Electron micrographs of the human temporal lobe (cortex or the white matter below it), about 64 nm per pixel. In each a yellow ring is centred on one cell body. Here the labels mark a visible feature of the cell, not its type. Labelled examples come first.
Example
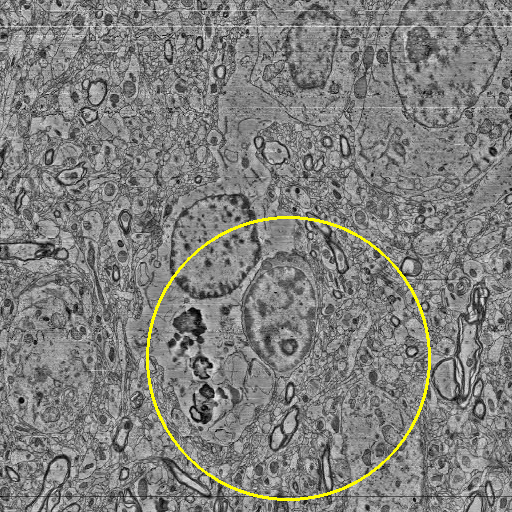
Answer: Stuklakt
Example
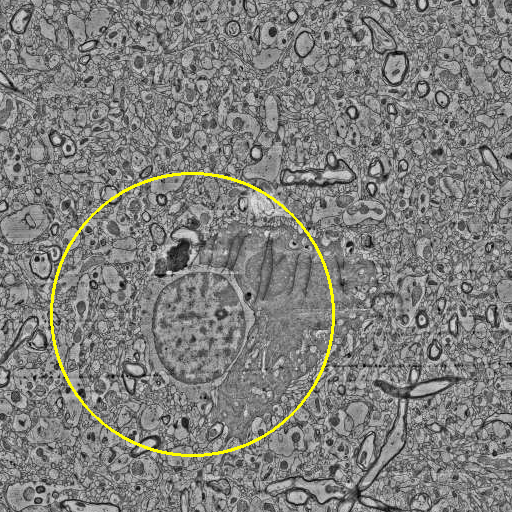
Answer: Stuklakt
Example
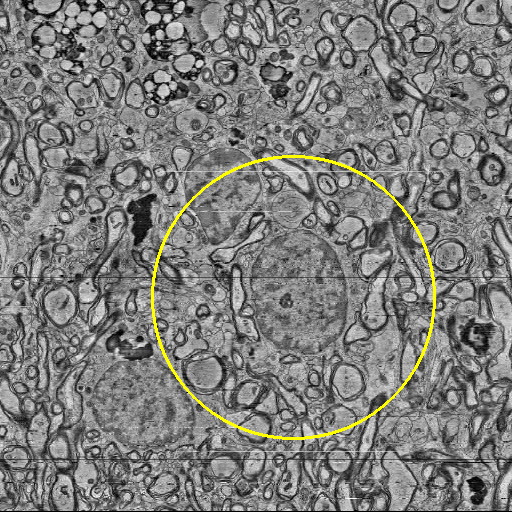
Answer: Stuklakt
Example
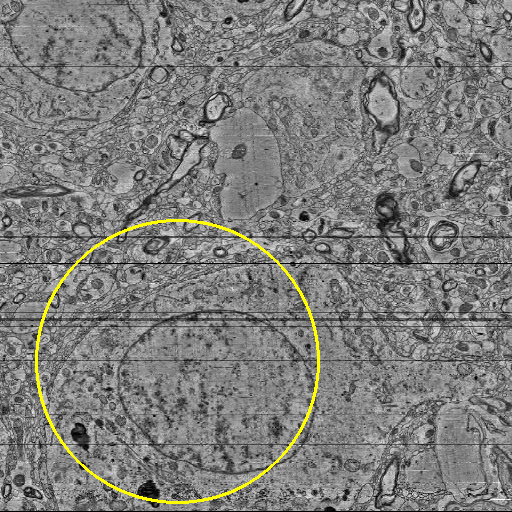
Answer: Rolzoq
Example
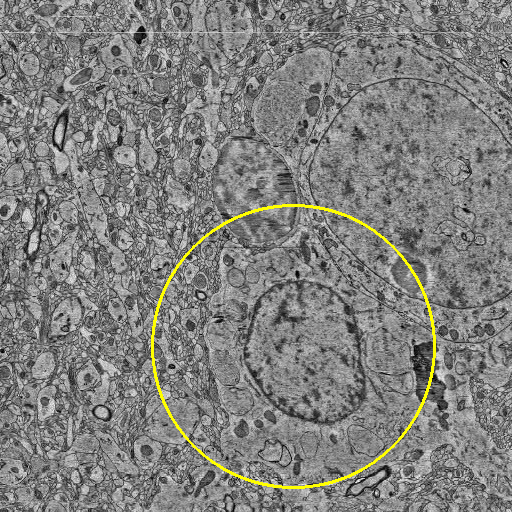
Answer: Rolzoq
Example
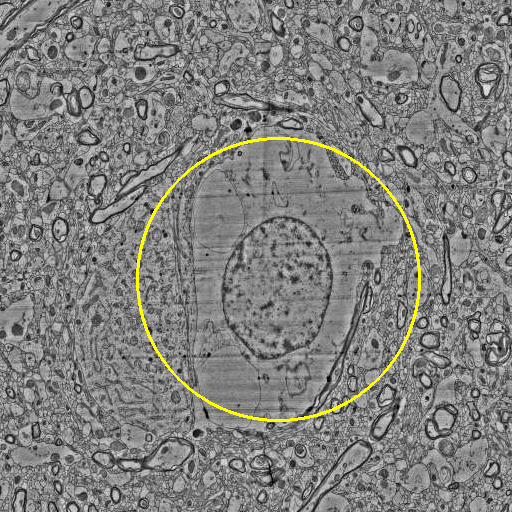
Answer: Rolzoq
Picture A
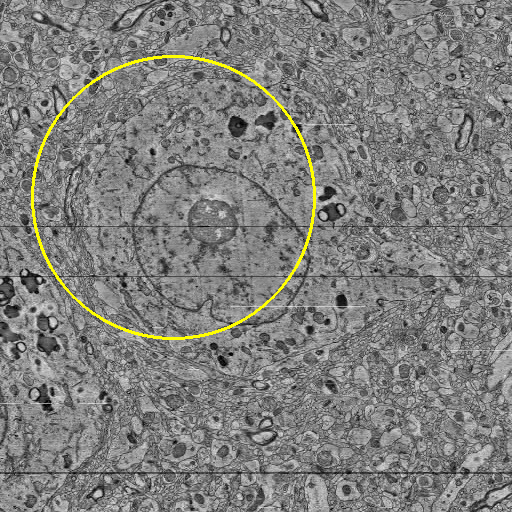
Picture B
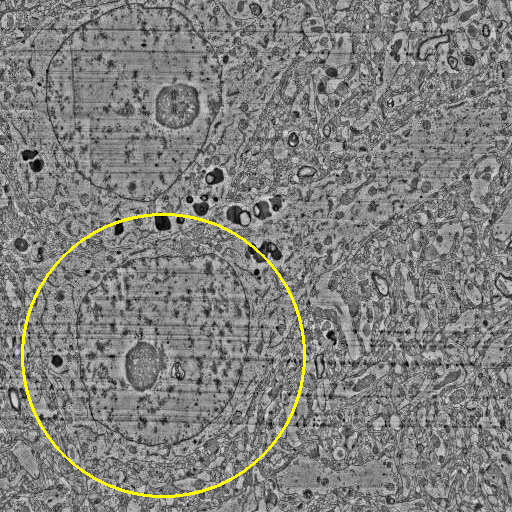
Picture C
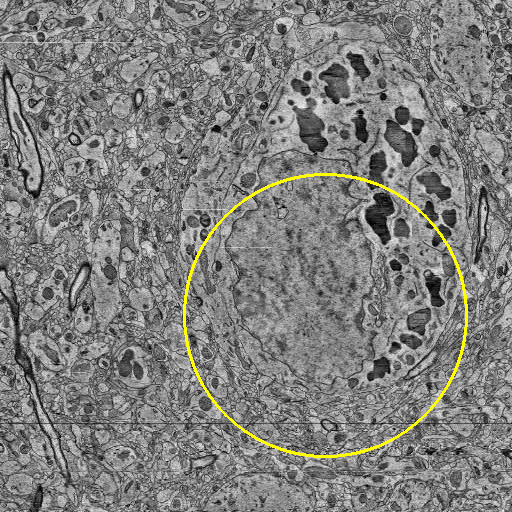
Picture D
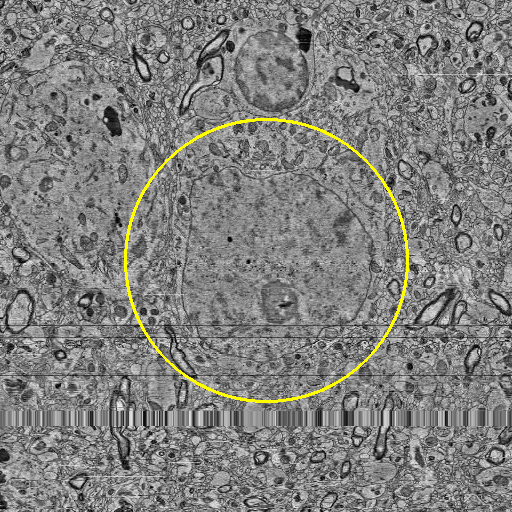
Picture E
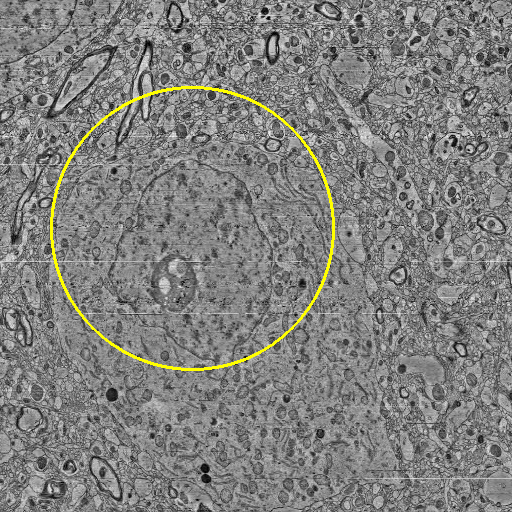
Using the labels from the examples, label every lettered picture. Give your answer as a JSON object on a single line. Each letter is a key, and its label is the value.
{"A": "Stuklakt", "B": "Stuklakt", "C": "Rolzoq", "D": "Stuklakt", "E": "Stuklakt"}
